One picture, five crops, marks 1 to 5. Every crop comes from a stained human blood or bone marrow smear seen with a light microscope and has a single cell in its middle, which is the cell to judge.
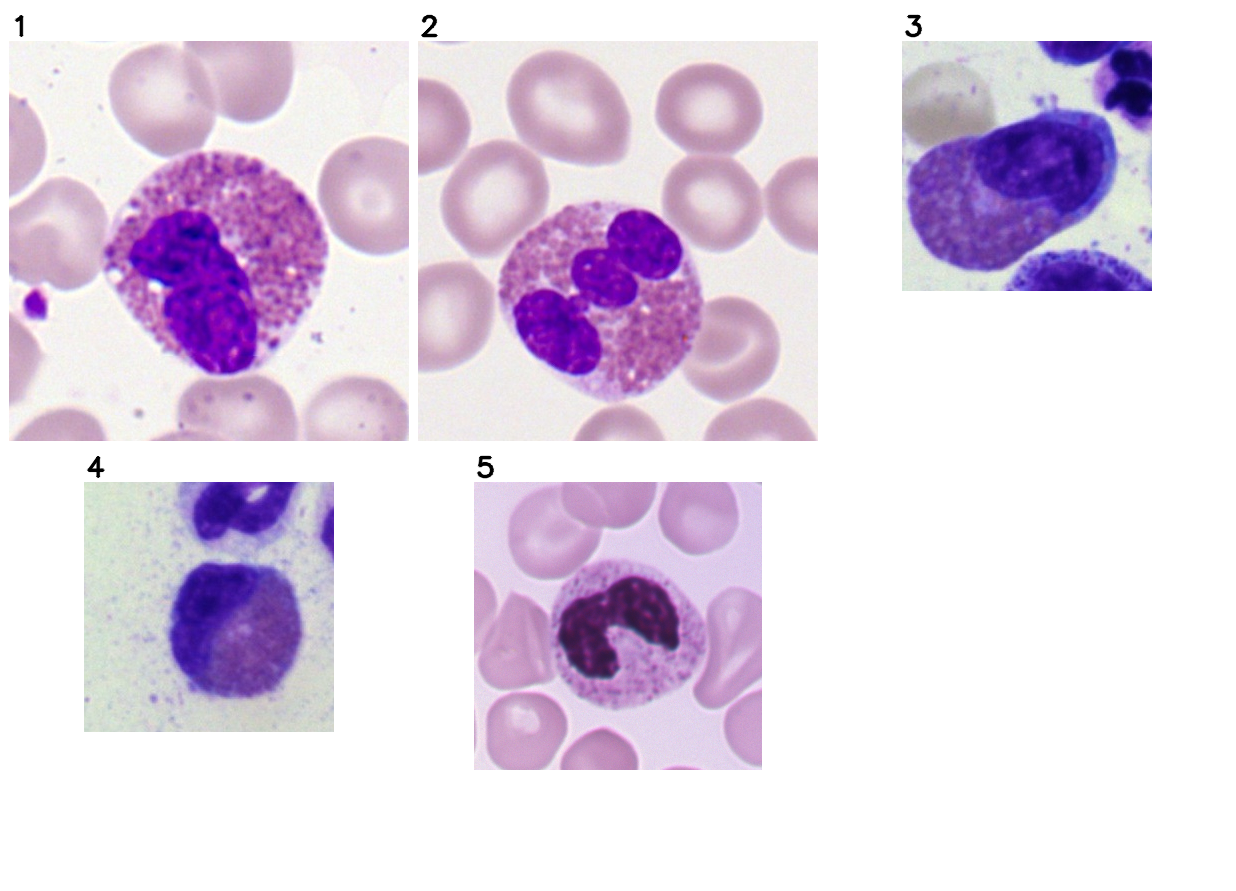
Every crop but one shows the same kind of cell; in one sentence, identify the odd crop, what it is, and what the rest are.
Crop 5 shows a segmented neutrophil, while all of the others show eosinophils.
